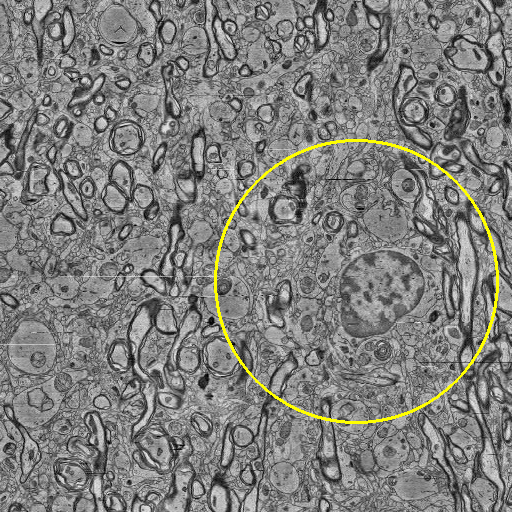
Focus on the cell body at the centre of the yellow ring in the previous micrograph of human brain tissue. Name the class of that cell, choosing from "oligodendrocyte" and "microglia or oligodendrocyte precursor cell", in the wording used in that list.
microglia or oligodendrocyte precursor cell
